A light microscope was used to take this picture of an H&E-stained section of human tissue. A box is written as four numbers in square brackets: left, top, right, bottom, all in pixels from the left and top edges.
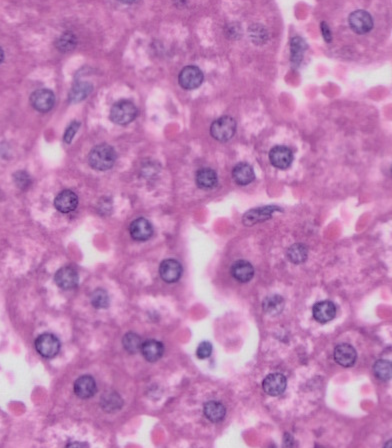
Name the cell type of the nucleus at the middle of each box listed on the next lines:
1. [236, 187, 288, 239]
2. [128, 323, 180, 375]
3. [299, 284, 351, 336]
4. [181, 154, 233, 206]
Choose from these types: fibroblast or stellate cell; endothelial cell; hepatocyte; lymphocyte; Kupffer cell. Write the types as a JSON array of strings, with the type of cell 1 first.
["Kupffer cell", "hepatocyte", "hepatocyte", "hepatocyte"]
